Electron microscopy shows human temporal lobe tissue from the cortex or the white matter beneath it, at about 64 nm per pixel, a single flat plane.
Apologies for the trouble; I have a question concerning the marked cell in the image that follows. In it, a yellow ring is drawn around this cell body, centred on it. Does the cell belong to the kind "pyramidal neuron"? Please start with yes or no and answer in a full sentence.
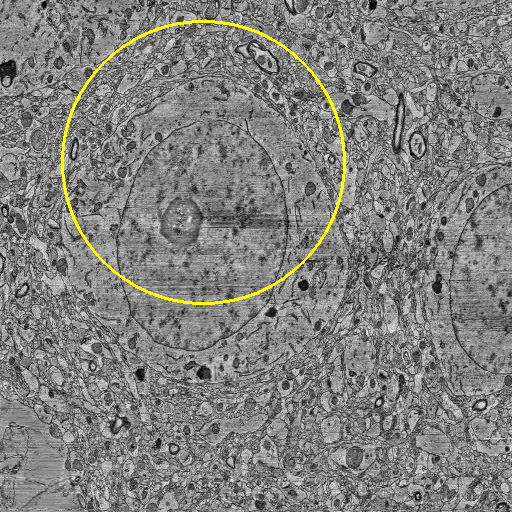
Yes, the cell at the centre of the ring in the picture is of that kind.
